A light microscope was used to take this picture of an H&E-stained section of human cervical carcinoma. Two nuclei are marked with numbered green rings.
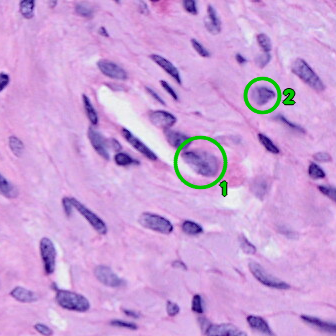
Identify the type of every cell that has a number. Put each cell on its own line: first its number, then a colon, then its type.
1: endothelial cell
2: fibroblast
